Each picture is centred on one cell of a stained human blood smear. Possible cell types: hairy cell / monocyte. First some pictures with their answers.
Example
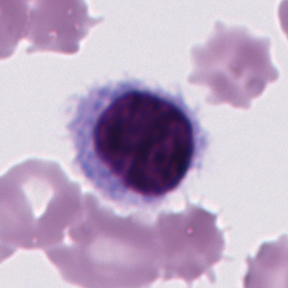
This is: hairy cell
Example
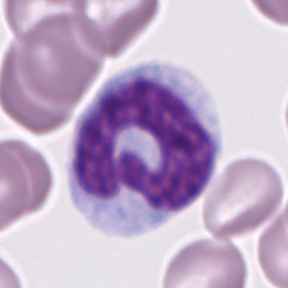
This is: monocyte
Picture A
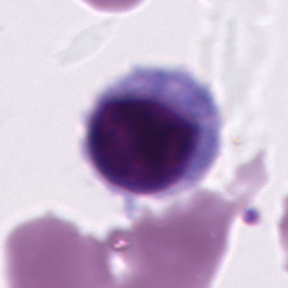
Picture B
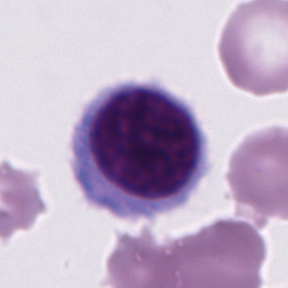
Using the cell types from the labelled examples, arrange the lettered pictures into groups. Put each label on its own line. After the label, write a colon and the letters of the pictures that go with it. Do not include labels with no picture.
hairy cell: A, B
